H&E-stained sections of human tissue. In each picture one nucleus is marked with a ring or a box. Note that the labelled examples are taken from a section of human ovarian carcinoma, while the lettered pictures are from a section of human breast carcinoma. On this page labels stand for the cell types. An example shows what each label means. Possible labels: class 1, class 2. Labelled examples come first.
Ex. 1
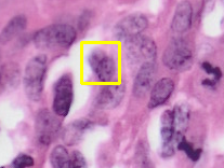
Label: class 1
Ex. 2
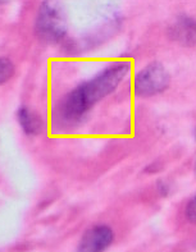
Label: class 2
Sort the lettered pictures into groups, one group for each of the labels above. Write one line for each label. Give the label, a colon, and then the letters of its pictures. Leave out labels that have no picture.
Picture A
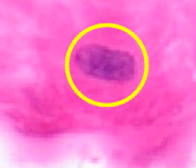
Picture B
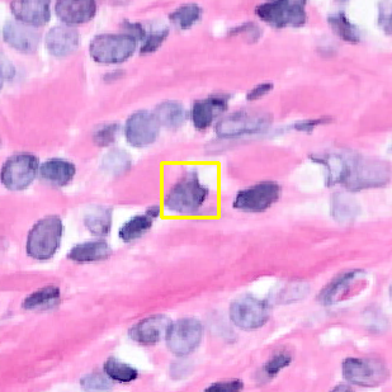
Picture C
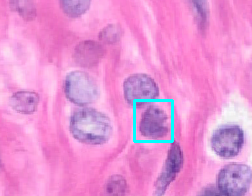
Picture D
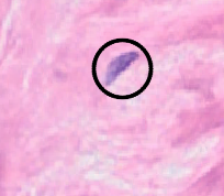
class 1: B, C
class 2: A, D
